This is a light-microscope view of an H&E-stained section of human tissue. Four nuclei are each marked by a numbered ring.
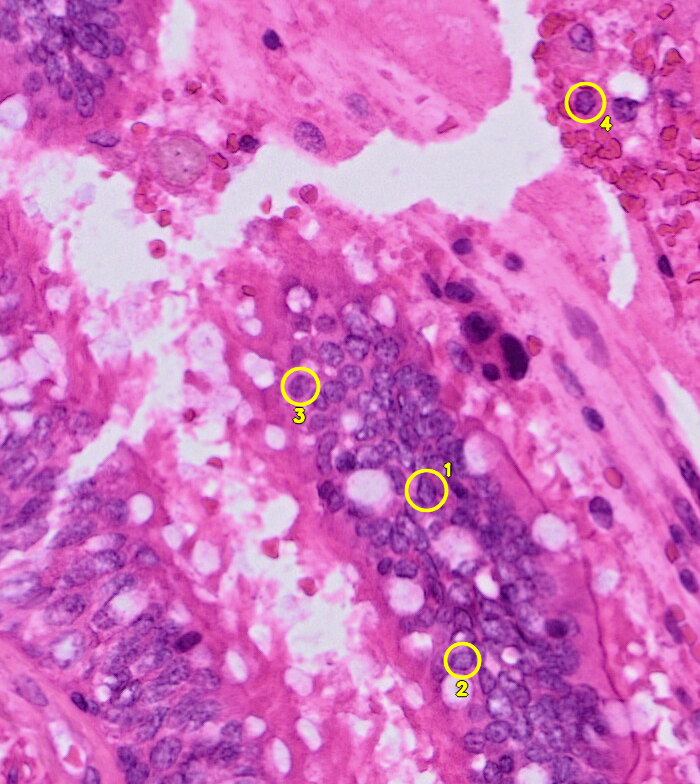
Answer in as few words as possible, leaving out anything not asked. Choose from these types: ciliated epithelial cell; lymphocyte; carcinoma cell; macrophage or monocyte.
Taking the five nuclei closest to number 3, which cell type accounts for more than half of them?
ciliated epithelial cell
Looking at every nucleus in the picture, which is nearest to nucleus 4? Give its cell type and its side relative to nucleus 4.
a macrophage or monocyte to the right of nucleus 4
